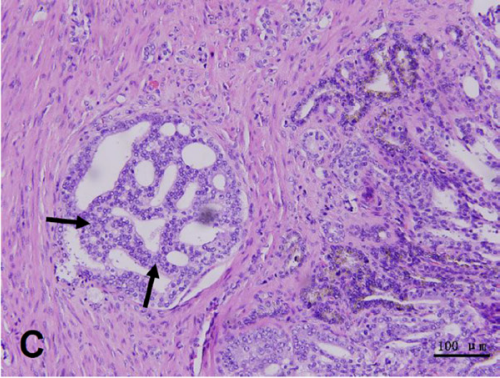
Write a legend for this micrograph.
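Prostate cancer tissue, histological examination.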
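A rounded gland within pink stroma is filled by epithelium perforated by several rounded and slit-like lumens, forming a sieve-like cribriform pattern. The lining cells have crowded, dark purple nuclei, and further irregular glands are seen at the right side of the field.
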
